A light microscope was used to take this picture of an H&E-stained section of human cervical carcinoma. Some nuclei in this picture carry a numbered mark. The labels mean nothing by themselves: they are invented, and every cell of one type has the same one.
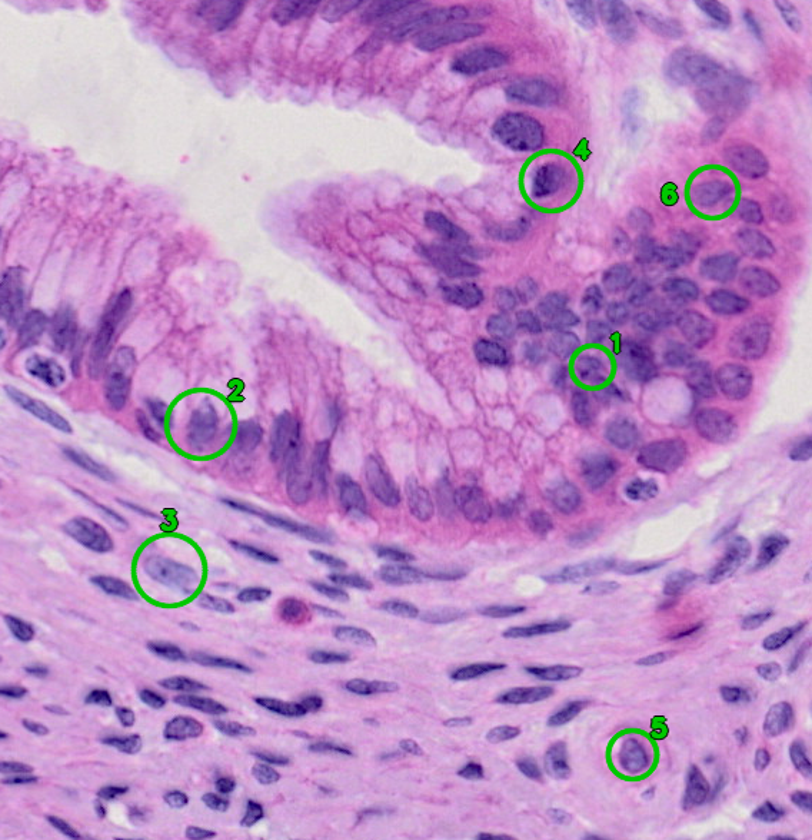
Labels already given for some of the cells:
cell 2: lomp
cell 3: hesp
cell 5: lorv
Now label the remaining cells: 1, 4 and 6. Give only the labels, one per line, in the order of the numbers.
lomp
lomp
lomp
